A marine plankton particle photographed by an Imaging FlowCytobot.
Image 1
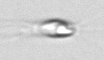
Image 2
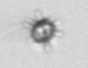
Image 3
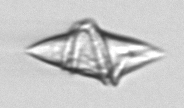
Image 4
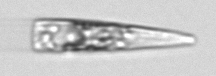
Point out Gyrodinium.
That is picture 3.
